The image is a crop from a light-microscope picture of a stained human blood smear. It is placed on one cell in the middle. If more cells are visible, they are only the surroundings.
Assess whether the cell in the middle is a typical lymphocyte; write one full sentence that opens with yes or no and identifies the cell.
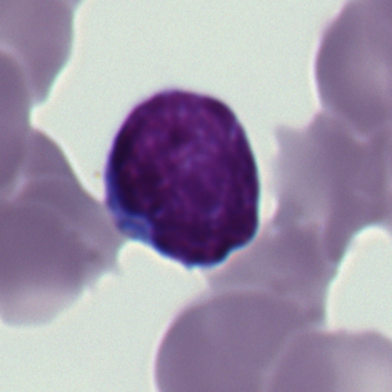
Yes, as for the central cell, it is a typical lymphocyte.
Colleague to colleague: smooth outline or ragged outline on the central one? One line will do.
From every side, the cell boundary is smooth and free of projections.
